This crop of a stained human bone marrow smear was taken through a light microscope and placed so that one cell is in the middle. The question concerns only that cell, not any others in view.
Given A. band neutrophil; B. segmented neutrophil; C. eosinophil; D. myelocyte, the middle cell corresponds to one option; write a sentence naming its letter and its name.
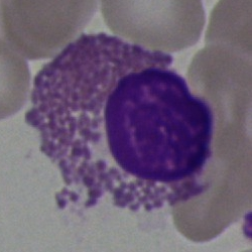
Here the right option is C, as the cell in the middle is an eosinophil.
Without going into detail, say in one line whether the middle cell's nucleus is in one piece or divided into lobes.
A single compact nucleus is present, shaped round, oval or like a kidney.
